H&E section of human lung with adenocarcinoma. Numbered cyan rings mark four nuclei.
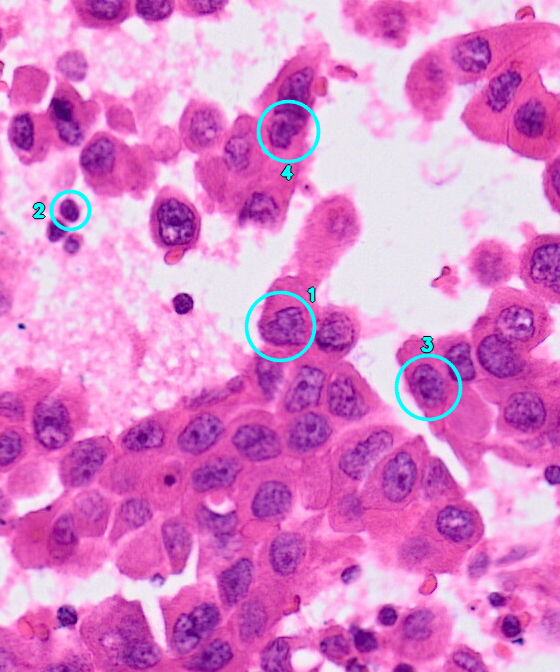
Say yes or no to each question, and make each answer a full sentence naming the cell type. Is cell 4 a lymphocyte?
No, cell 4 is a carcinoma cell and should not be called a lymphocyte.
